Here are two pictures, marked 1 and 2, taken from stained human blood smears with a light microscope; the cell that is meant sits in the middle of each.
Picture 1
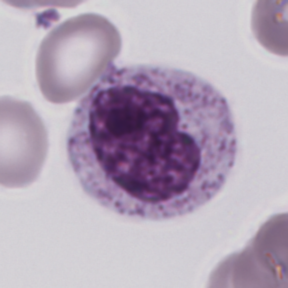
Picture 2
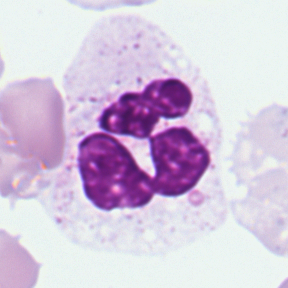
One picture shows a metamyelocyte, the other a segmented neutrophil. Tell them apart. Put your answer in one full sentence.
It is picture 1 that shows a metamyelocyte, and picture 2 that shows a segmented neutrophil.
